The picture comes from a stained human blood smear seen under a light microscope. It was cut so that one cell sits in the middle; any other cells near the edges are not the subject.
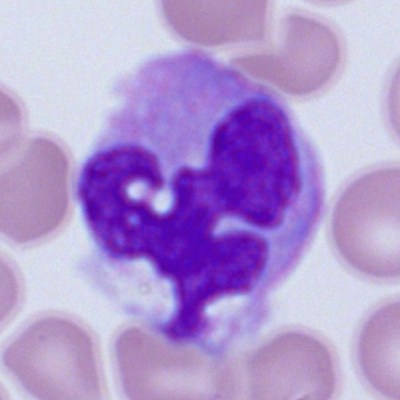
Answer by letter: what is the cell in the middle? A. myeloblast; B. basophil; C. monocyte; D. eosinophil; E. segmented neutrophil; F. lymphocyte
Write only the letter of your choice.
C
